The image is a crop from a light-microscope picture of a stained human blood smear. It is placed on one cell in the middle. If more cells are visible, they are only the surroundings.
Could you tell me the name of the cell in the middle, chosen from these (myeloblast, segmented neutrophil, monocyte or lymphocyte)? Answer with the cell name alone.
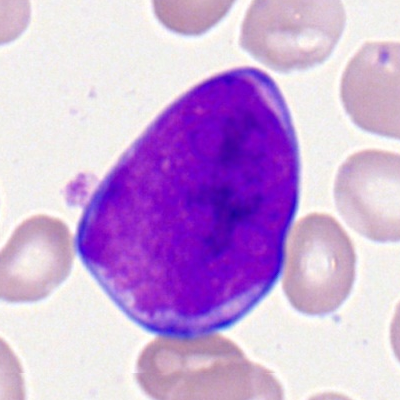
myeloblast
